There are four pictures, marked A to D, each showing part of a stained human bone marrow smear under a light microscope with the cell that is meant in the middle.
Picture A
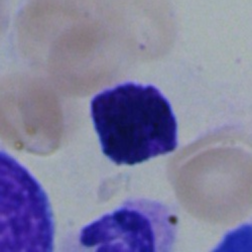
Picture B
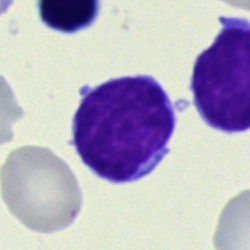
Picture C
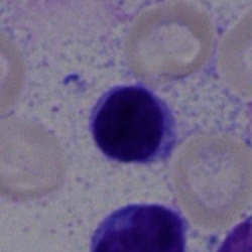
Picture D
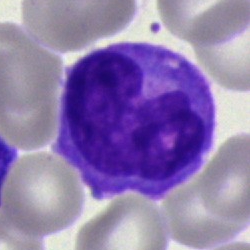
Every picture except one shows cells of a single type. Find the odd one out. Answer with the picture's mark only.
D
